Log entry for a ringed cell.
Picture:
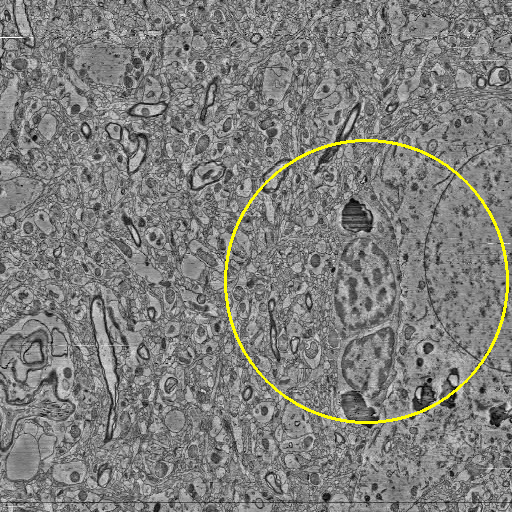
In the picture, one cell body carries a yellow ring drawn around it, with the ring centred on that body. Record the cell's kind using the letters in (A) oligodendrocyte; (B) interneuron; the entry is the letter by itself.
A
